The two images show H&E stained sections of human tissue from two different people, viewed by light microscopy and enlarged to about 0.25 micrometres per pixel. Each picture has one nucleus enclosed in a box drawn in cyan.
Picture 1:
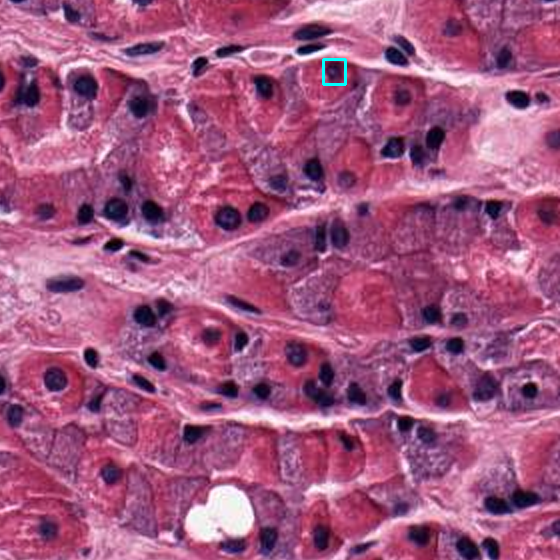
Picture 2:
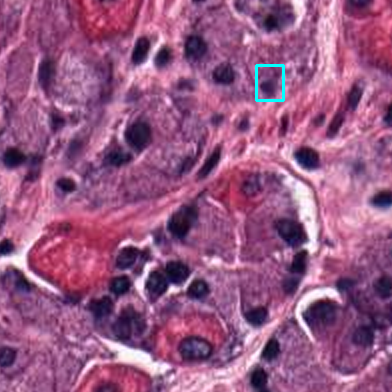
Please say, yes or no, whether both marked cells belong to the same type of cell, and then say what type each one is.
No, the first is a parietal cell and the second a chief cell.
